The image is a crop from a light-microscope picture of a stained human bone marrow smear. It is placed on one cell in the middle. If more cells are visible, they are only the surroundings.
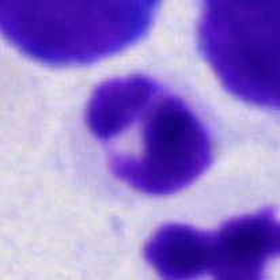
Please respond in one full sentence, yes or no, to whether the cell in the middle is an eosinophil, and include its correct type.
No, the middle cell is classified as a neutrophil instead of an eosinophil.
